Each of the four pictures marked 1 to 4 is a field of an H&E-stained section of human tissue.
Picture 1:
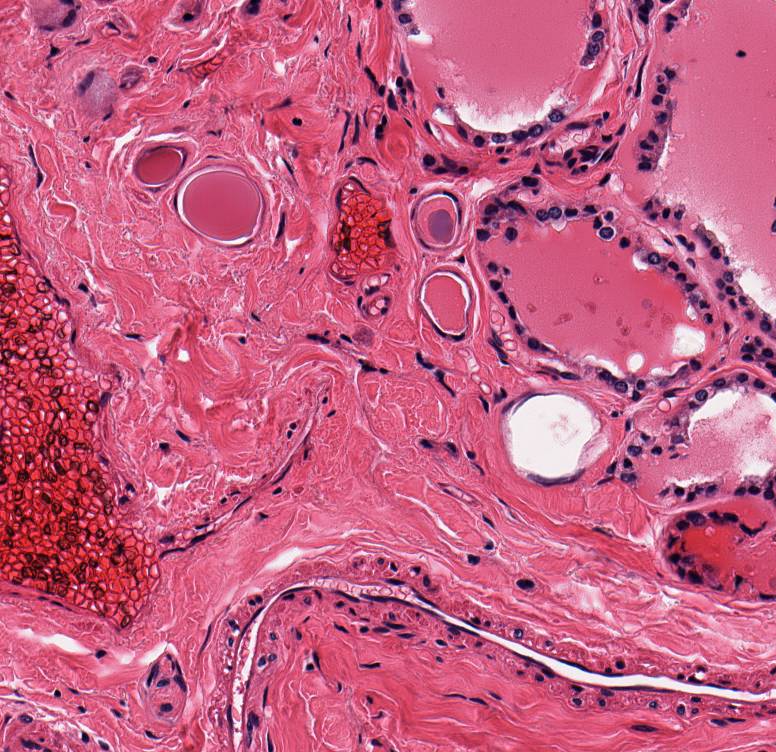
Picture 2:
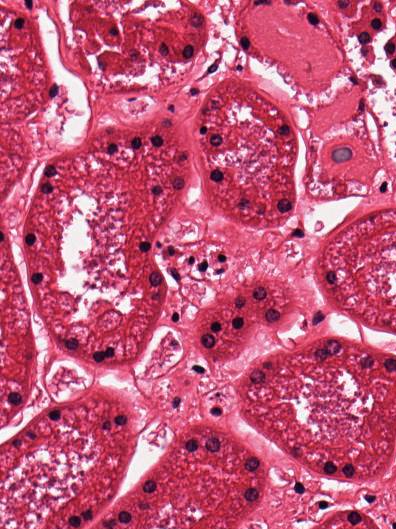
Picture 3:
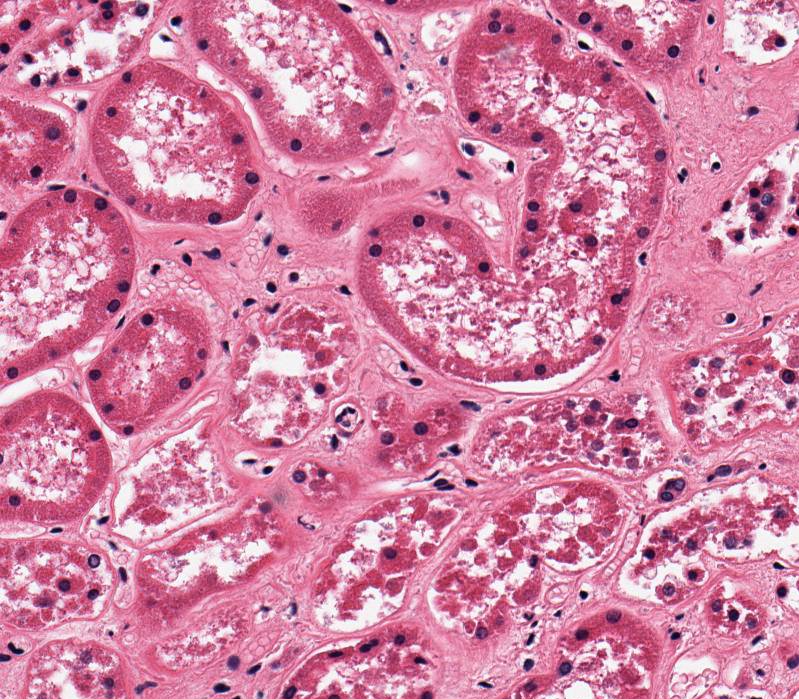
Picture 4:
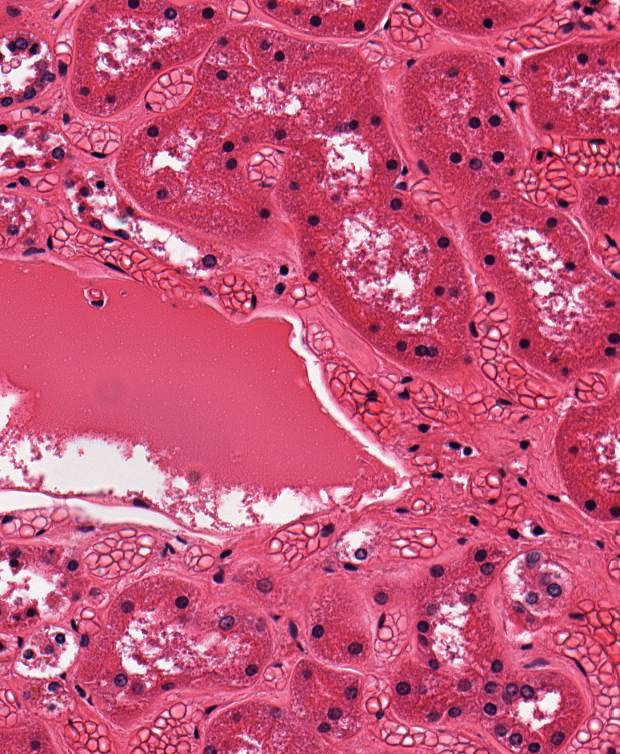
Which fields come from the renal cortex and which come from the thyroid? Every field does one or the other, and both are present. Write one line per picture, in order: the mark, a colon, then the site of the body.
1: thyroid
2: renal cortex
3: renal cortex
4: renal cortex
